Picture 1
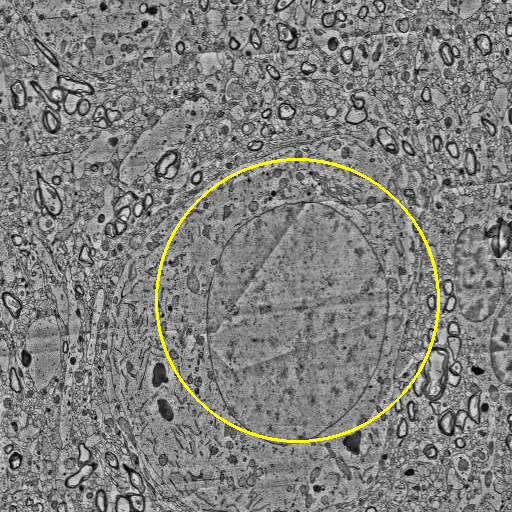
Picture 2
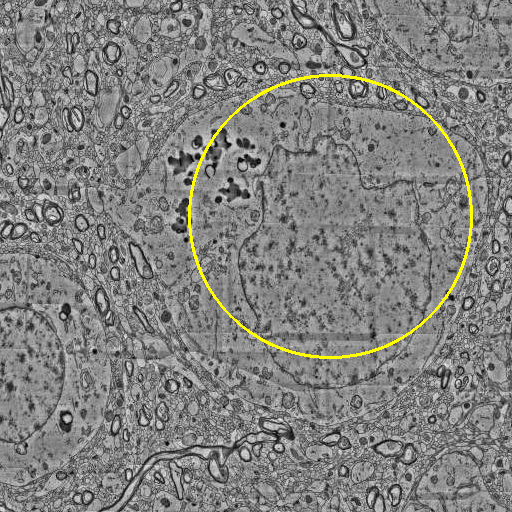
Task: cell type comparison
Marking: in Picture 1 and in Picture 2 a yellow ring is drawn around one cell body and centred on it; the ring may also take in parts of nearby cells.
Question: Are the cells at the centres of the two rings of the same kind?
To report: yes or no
yes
